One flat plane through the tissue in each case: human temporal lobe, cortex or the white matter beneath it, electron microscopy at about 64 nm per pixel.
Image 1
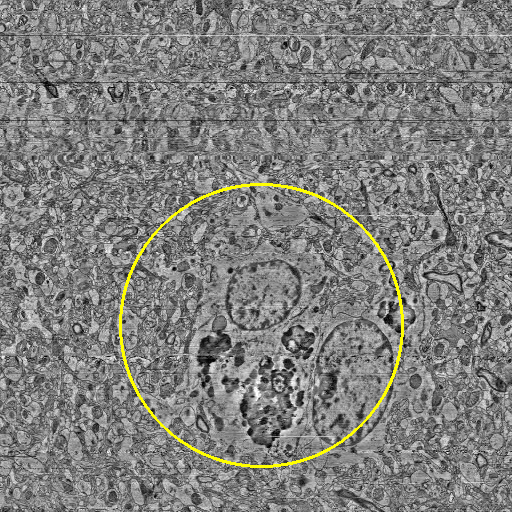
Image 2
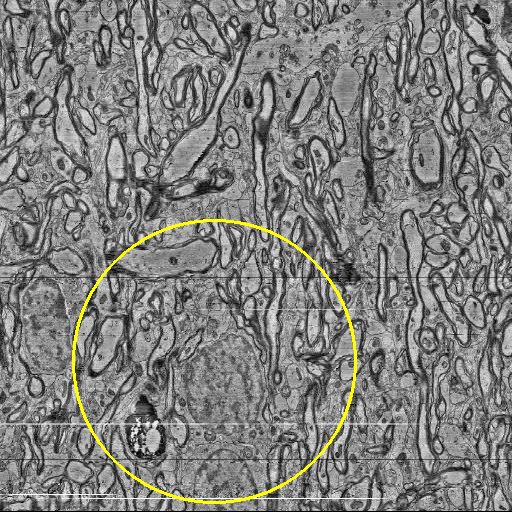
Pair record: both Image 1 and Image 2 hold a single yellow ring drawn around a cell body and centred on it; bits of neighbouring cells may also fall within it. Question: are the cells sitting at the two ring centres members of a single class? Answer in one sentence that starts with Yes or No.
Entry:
No, the ring-centre cells in Image 1 and Image 2 come from two classes.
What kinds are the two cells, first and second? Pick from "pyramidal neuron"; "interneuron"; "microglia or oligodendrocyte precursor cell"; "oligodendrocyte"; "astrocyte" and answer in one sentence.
The second picture holds an oligodendrocyte in its ring, and the first holds an astrocyte.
